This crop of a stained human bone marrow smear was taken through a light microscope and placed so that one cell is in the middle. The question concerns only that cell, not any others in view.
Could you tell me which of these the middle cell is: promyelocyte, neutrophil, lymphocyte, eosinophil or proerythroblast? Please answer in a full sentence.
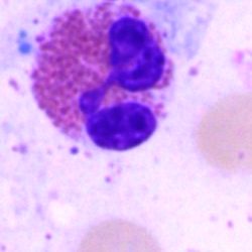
Here the centrally located cell is an eosinophil.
